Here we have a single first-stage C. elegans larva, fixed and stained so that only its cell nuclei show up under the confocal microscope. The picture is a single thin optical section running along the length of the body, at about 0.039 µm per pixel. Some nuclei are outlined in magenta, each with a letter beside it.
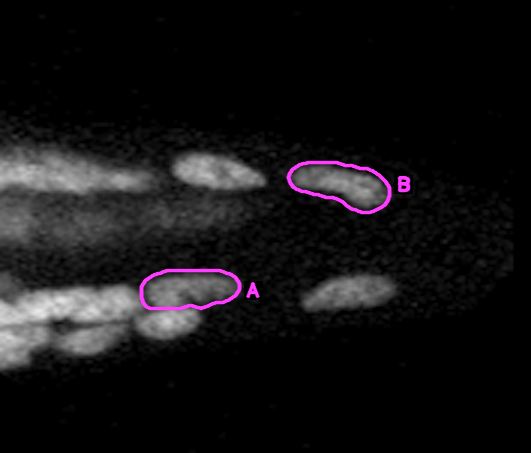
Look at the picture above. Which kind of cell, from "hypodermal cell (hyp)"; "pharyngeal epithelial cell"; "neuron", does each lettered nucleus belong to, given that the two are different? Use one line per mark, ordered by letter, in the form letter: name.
A: pharyngeal epithelial cell
B: hypodermal cell (hyp)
